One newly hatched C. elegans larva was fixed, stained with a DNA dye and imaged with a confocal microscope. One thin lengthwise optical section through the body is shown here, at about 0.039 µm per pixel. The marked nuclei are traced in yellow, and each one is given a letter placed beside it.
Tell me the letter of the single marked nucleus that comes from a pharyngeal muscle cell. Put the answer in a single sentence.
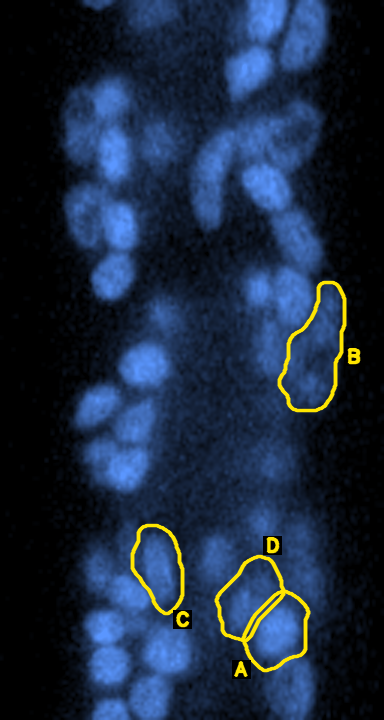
D is the nucleus of a pharyngeal muscle cell.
